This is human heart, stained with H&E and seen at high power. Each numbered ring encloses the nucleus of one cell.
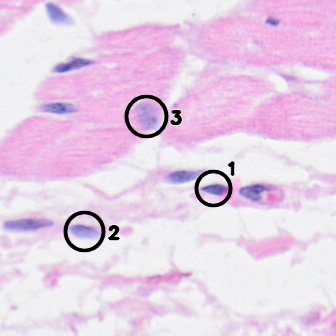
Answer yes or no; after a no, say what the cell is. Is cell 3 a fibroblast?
No, it is a cardiomyocyte.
